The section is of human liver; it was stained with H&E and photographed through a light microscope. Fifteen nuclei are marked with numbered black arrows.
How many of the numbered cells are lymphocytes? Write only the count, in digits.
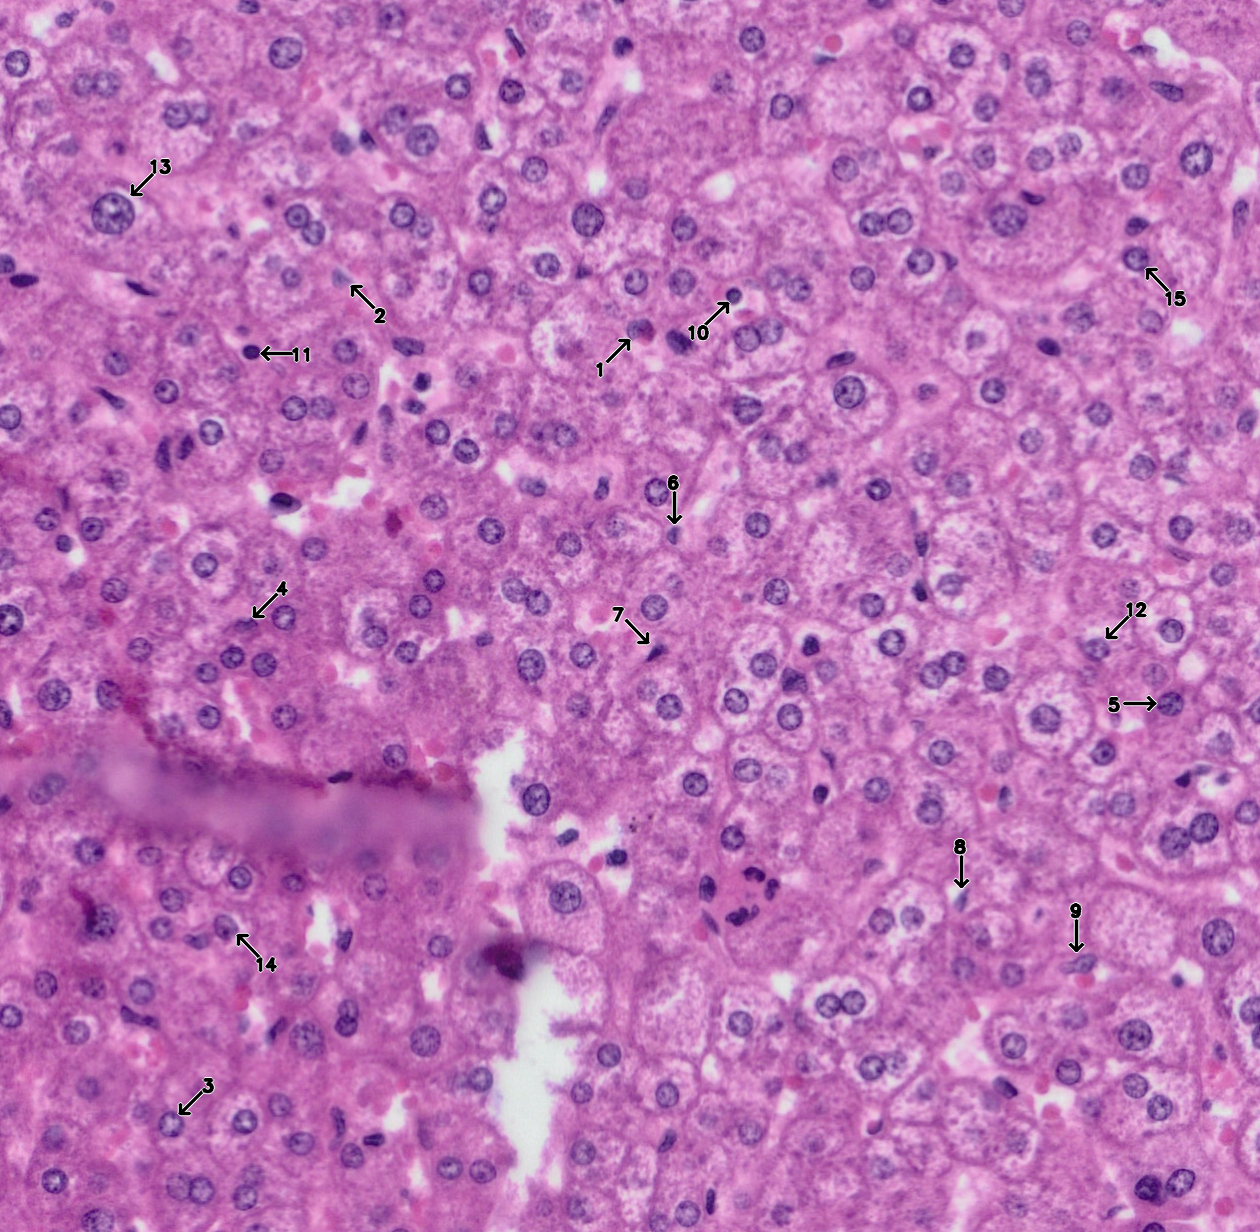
2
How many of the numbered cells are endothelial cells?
6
